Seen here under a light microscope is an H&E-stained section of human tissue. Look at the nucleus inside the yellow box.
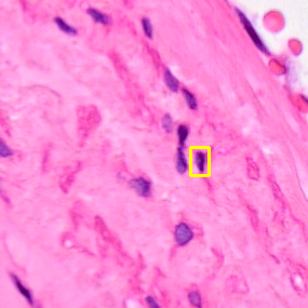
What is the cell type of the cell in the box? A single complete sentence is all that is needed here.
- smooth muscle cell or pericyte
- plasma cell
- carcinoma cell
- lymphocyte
In this field of tissue, the cell in the box is a smooth muscle cell or pericyte.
